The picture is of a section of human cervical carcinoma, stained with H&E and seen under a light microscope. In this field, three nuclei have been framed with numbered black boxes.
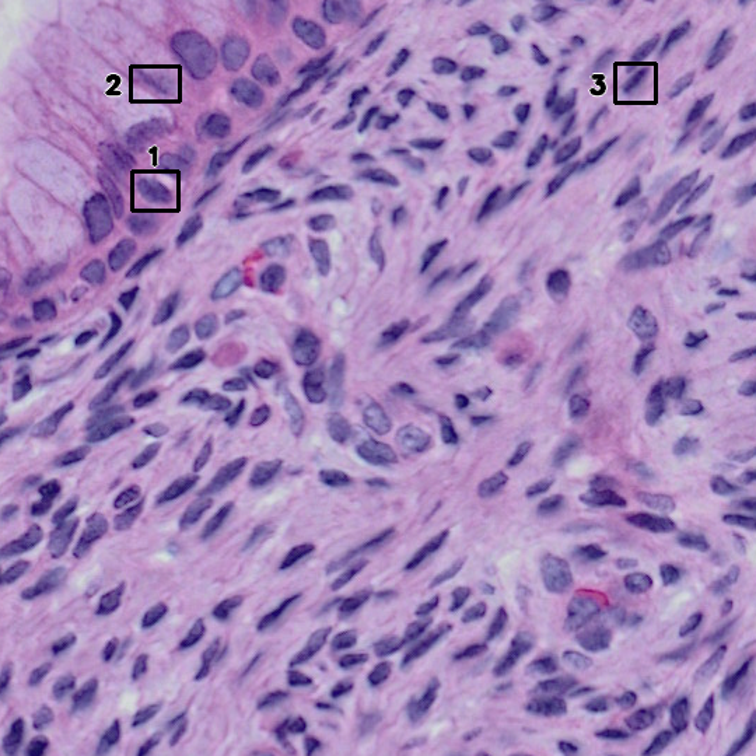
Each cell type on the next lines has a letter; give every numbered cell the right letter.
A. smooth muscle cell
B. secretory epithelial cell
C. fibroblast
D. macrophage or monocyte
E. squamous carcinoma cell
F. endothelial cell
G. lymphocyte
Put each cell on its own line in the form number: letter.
1: B
2: B
3: C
